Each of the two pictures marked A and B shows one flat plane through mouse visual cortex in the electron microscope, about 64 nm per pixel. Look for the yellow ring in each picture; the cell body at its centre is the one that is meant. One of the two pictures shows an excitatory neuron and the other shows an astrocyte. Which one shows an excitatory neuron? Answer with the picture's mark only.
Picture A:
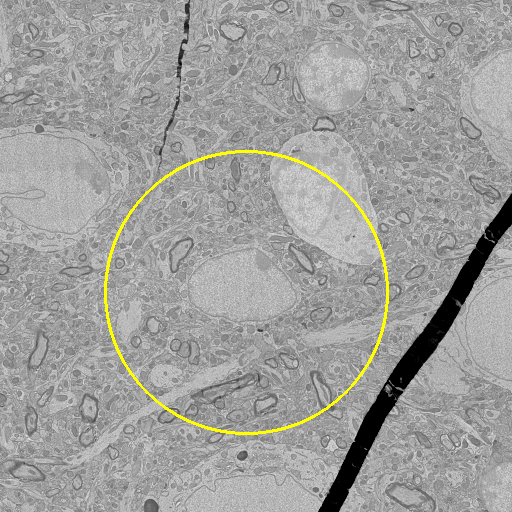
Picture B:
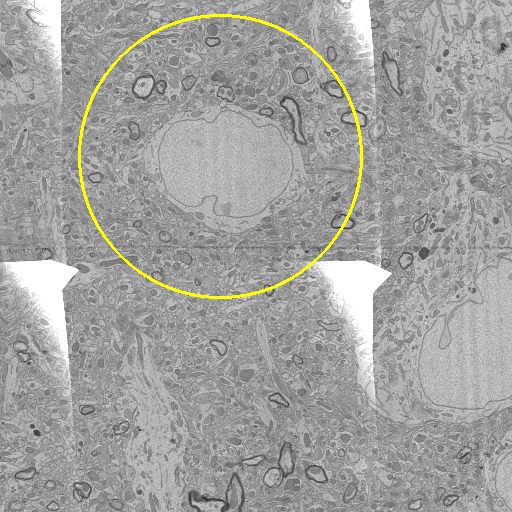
B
